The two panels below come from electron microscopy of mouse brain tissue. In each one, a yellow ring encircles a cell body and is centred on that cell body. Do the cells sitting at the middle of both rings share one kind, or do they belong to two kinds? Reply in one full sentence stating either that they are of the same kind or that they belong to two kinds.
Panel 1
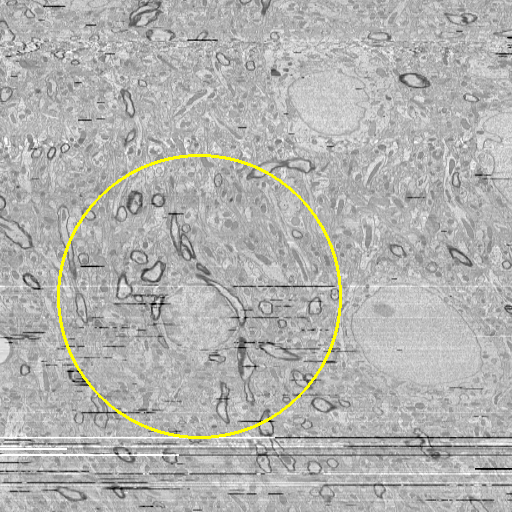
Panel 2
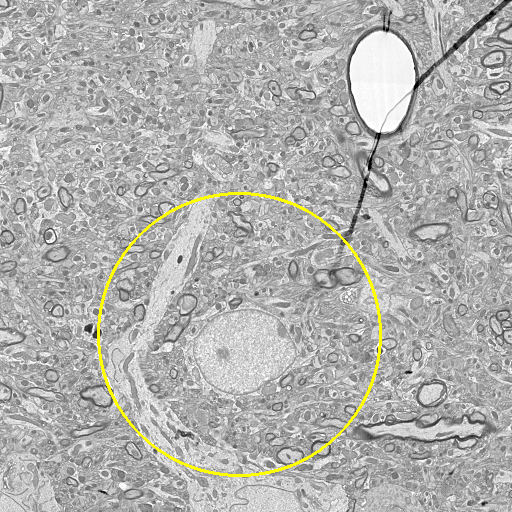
The cells at the centres of the two rings belong to two kinds.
